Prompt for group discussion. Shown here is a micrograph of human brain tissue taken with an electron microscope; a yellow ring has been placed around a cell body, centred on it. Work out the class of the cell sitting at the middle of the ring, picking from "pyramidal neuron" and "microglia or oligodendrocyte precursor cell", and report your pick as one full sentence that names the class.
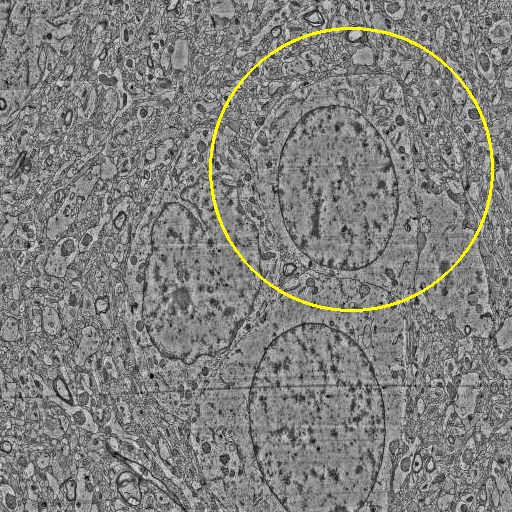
The cell sitting at the middle of the yellow ring is a pyramidal neuron.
